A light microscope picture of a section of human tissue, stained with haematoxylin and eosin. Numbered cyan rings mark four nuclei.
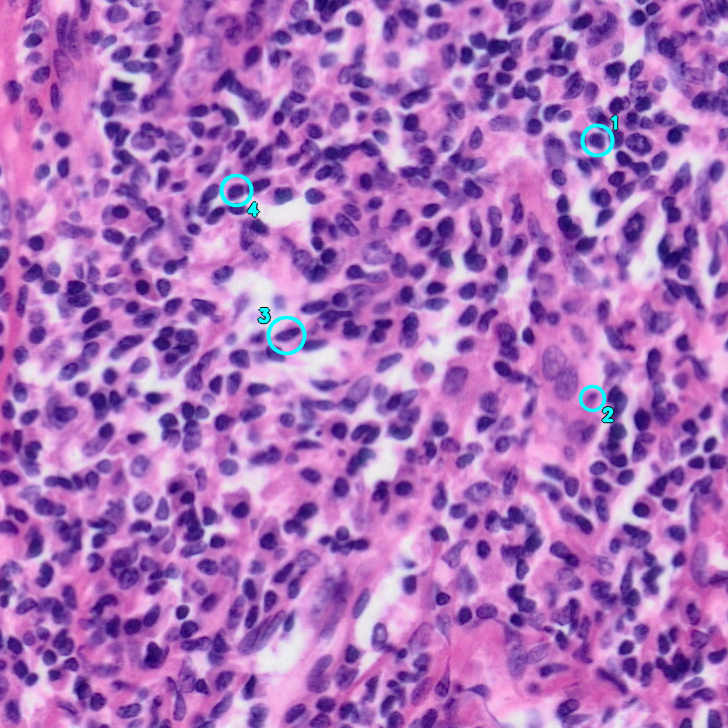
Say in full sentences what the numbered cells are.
Cell 1 is a small lymphocyte, cell 2 is an endothelial cell, cell 3 is a small lymphocyte and cell 4 is a small lymphocyte.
